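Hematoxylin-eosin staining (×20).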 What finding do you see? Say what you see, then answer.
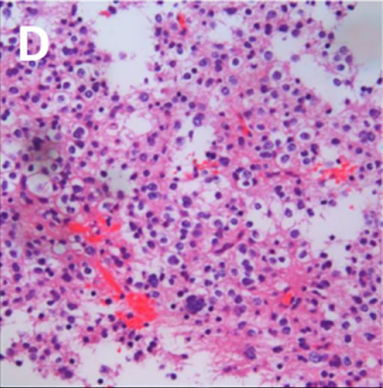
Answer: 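Densely packed cells with round, dark nuclei. Many cells have clear cytoplasm around the nucleus. A loose, pink, fibrillary background lies between the cells. Small blood vessels with red cells run through the tissue. The answer: gliomas.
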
